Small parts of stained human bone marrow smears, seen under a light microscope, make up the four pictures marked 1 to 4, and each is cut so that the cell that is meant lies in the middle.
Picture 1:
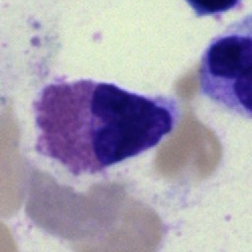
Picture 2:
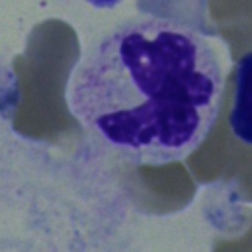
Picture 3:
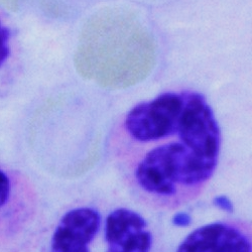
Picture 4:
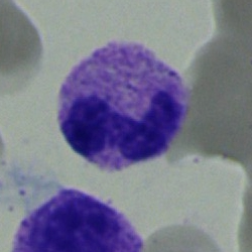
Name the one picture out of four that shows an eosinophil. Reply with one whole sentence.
Picture 1 shows the eosinophil.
